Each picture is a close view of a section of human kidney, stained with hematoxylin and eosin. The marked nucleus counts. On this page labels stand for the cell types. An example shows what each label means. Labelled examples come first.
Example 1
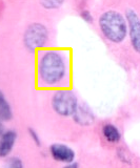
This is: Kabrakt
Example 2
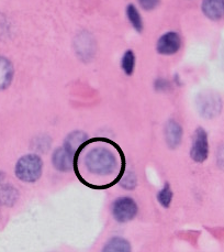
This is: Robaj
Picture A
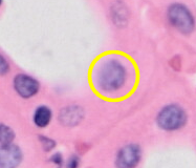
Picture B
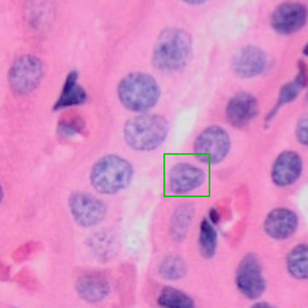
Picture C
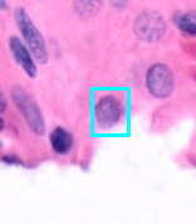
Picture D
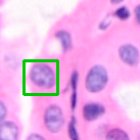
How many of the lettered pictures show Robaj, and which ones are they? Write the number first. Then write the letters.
1: B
